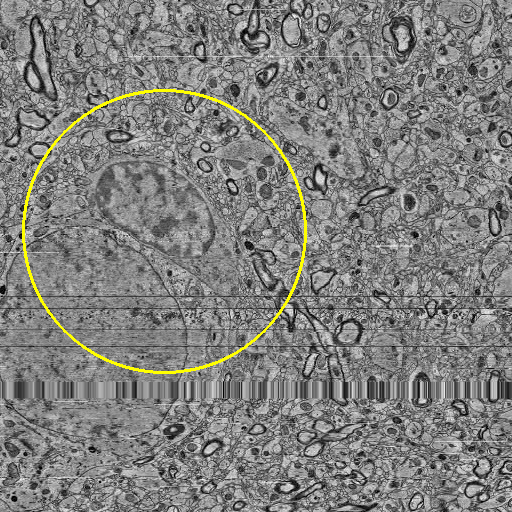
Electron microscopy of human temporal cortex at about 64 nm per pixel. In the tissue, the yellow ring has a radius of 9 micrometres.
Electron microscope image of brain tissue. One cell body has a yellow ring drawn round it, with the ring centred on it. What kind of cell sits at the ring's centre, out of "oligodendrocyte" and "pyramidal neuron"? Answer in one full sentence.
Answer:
It is an oligodendrocyte whose cell body sits at the centre of the yellow ring.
